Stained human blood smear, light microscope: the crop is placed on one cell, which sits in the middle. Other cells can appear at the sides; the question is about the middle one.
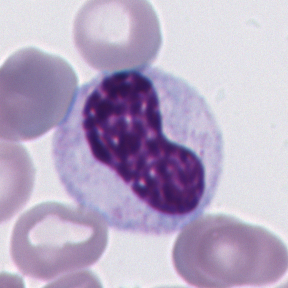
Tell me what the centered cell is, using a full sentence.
At the crop's centre, the cell is a band neutrophil.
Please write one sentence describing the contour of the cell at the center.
Smooth outline, no projections: that is the whole story of its edge.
